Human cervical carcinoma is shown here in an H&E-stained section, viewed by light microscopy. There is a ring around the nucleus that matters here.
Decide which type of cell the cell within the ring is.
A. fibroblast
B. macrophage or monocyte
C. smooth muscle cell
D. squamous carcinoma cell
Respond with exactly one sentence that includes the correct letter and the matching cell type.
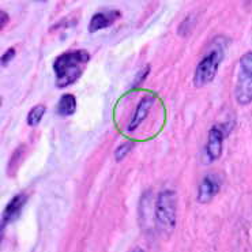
The right pick is option C; the cell within the ring is a smooth muscle cell.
